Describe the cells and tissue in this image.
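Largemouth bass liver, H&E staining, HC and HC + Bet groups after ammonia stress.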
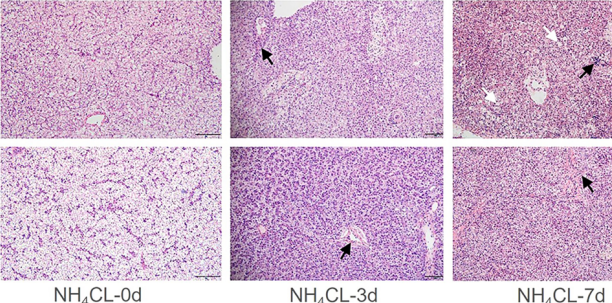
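The tissue is made of closely packed hepatocytes with small dark purple nuclei and pink to pale cytoplasm, which in some sections looks cleared or vacuolated. Scattered vessel-like spaces interrupt the parenchyma, and several sections contain pale, empty-looking cleared areas. Arrows point to focal spots near these spaces where the tissue looks altered.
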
